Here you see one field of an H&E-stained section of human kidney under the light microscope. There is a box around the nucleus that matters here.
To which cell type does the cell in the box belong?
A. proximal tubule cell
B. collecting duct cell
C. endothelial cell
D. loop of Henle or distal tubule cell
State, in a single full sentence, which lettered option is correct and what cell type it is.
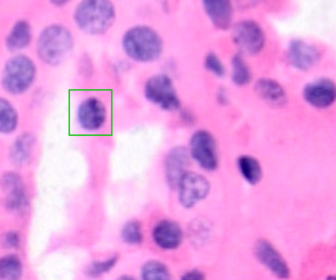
Answer with option B; the cell in the box is a collecting duct cell.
